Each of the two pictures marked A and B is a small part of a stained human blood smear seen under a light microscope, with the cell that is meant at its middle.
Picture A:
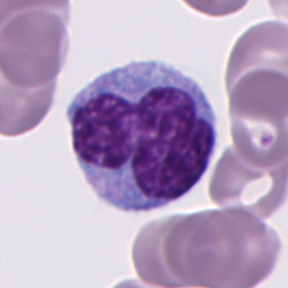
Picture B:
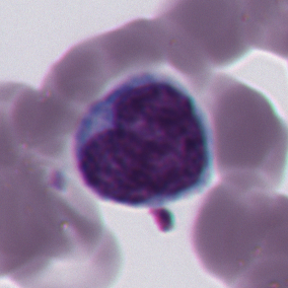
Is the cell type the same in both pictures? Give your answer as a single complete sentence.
Yes; the cells in both pictures are monocytes.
